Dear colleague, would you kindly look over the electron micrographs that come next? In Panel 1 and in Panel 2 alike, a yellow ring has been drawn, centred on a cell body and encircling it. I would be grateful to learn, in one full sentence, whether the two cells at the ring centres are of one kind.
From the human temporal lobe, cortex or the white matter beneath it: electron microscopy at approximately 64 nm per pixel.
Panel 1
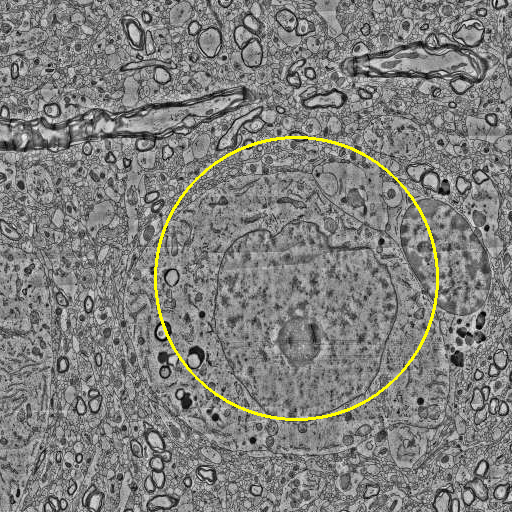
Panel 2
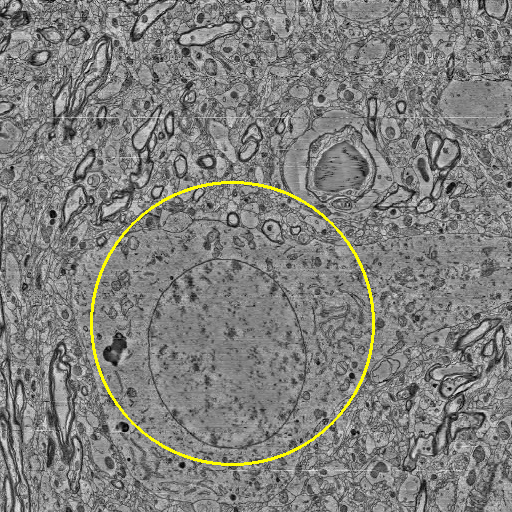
Yes, the cells in the middle of the rings in the two panels are of one kind.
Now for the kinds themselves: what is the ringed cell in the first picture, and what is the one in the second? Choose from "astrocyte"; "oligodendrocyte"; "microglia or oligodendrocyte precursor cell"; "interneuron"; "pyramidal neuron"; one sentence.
Each one of the two ringed cells is a pyramidal neuron.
